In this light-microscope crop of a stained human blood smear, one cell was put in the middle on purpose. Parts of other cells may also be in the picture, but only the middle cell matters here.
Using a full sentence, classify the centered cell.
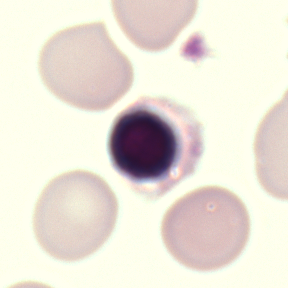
To answer, the cell in the center of the crop is a normoblast.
